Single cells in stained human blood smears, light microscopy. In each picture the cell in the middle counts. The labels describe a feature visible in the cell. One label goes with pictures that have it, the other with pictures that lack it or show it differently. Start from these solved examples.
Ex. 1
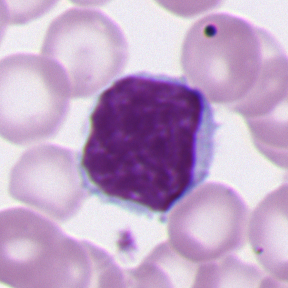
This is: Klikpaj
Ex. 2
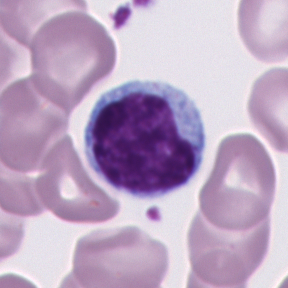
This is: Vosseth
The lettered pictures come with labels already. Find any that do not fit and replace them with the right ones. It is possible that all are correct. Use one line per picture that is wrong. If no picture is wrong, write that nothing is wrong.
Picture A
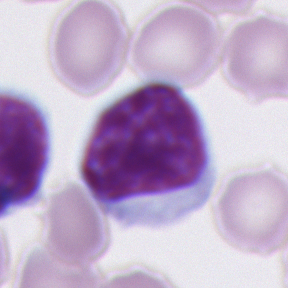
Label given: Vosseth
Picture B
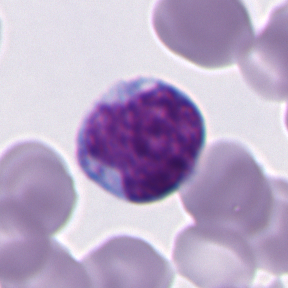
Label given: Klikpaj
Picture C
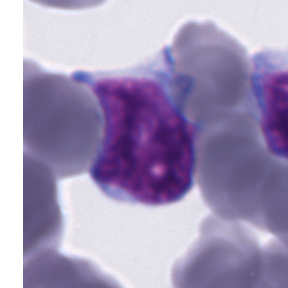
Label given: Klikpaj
Wrong: B (Klikpaj); correct: Vosseth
